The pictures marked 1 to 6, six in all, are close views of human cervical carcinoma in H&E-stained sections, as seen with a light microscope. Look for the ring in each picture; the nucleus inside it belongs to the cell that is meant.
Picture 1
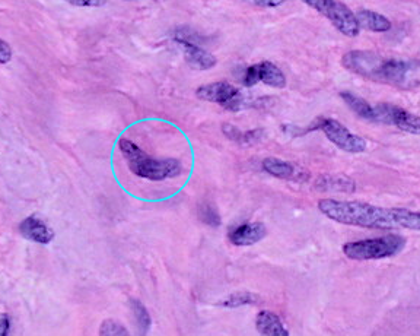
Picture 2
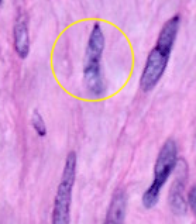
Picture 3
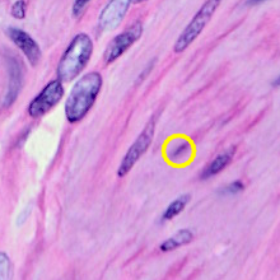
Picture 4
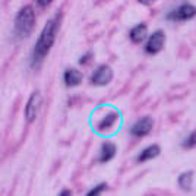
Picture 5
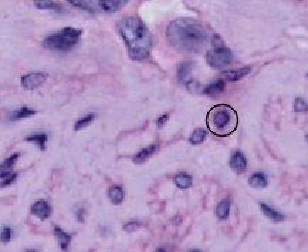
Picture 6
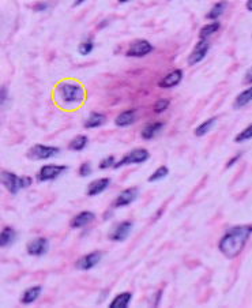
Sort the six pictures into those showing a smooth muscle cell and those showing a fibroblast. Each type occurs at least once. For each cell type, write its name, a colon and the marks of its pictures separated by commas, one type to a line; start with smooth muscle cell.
smooth muscle cell: 3, 4, 5, 6
fibroblast: 1, 2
